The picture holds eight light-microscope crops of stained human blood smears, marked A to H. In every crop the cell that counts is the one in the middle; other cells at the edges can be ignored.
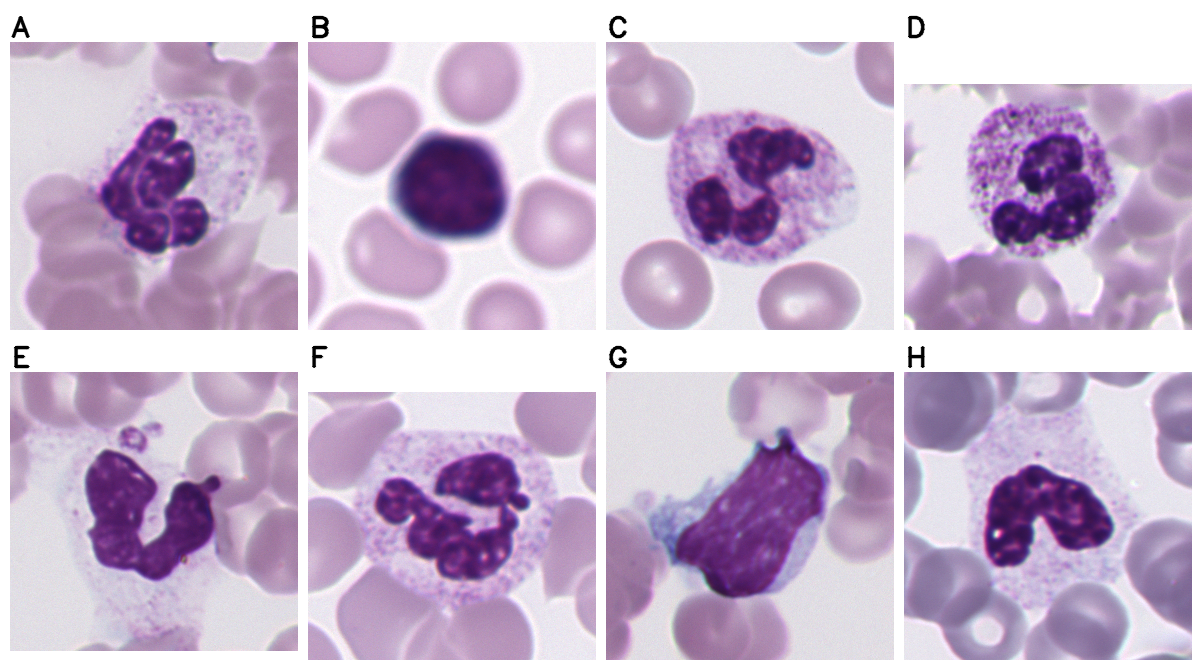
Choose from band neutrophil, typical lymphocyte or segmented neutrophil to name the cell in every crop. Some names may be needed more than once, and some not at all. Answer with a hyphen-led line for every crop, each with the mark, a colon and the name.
- A: segmented neutrophil
- B: typical lymphocyte
- C: segmented neutrophil
- D: segmented neutrophil
- E: segmented neutrophil
- F: segmented neutrophil
- G: typical lymphocyte
- H: band neutrophil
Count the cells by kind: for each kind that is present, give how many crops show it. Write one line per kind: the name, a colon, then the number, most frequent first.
segmented neutrophil: 5
typical lymphocyte: 2
band neutrophil: 1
